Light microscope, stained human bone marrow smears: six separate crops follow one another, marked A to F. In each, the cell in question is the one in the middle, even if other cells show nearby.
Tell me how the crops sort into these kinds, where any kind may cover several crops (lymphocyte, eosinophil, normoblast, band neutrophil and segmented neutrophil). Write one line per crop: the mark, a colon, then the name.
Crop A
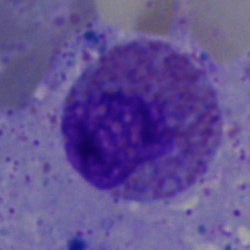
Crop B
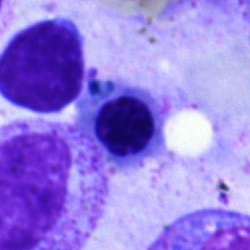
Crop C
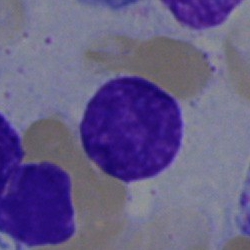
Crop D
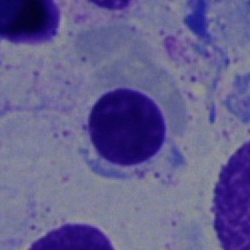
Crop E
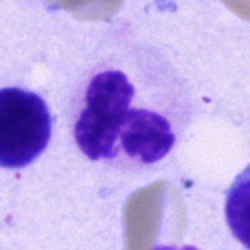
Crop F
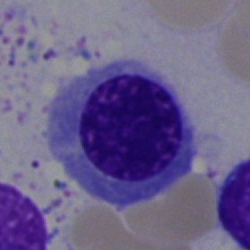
A: eosinophil
B: normoblast
C: lymphocyte
D: normoblast
E: segmented neutrophil
F: normoblast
